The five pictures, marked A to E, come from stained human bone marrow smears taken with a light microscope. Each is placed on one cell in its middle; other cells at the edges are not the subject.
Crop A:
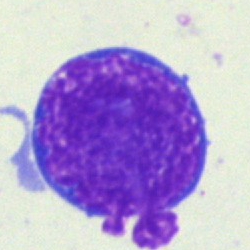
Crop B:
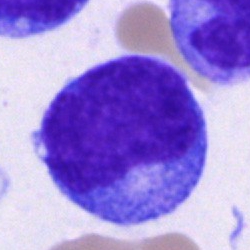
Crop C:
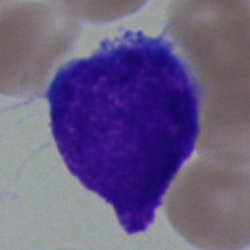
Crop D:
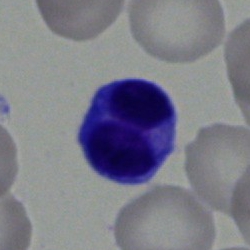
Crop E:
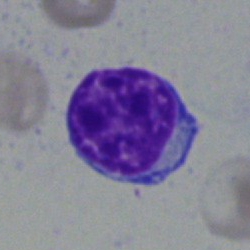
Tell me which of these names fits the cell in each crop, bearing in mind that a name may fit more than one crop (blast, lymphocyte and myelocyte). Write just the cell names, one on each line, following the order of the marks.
blast
blast
blast
lymphocyte
lymphocyte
